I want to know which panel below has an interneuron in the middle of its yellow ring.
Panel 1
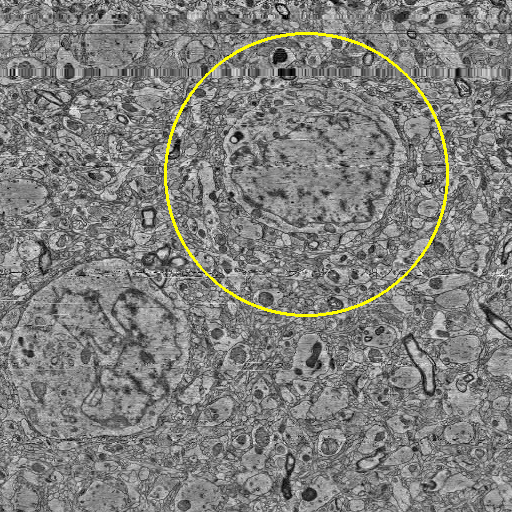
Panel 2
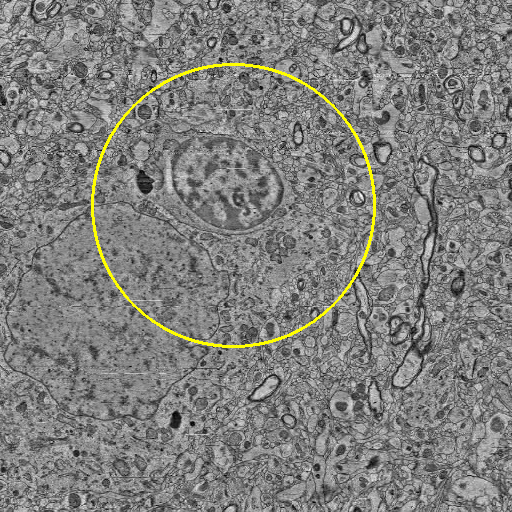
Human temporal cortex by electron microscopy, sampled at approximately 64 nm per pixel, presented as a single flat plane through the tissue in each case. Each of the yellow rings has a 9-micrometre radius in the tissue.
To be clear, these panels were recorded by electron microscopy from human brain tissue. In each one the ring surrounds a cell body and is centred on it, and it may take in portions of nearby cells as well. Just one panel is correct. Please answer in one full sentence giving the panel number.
Panel 1 has the requested cell sitting at the centre of its ring.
